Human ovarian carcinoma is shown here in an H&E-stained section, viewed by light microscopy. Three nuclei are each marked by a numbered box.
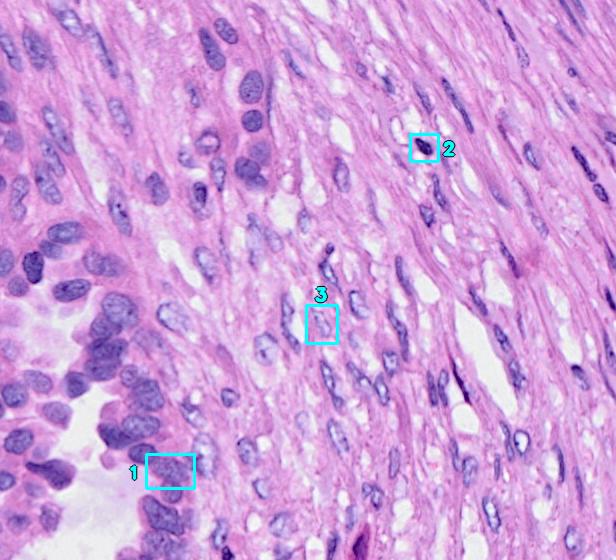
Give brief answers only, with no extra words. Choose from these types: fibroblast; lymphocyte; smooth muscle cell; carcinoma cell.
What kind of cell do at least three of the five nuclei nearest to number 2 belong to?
fibroblast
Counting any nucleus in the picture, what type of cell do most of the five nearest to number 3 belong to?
fibroblast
